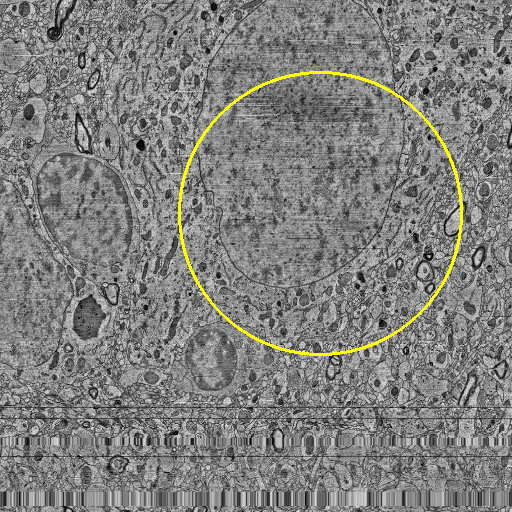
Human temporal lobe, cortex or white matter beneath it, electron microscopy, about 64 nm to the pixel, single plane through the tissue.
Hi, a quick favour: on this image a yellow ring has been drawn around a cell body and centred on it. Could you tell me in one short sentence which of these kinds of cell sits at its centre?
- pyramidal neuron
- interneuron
The ring is centred on a pyramidal neuron.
